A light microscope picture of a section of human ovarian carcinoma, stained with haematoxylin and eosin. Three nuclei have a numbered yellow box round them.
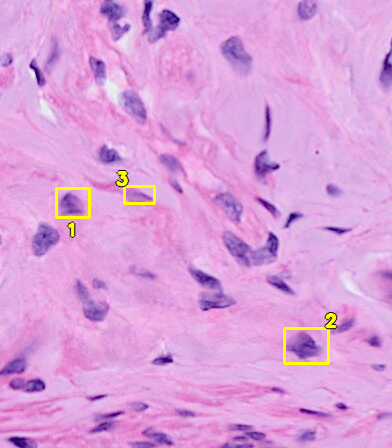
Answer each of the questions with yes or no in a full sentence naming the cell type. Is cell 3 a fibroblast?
No, sorry, the cell labelled 3 is not a fibroblast; it is a smooth muscle cell.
